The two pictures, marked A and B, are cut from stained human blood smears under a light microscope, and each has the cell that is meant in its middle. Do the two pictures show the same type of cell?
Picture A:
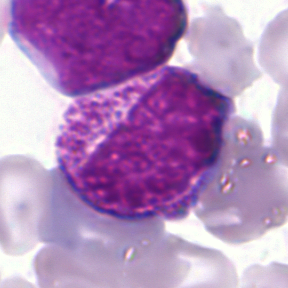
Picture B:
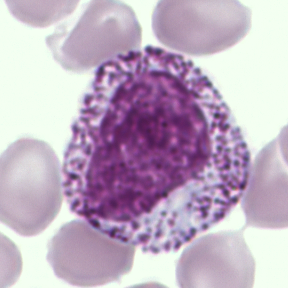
yes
